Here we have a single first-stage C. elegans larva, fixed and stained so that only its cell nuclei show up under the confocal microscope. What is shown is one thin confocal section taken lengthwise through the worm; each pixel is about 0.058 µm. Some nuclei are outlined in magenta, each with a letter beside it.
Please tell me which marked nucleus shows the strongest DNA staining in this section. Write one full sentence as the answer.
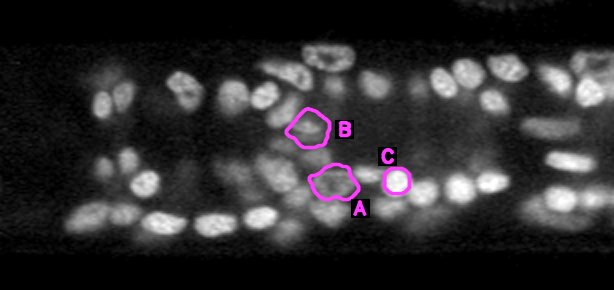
Nucleus C shows the strongest staining.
